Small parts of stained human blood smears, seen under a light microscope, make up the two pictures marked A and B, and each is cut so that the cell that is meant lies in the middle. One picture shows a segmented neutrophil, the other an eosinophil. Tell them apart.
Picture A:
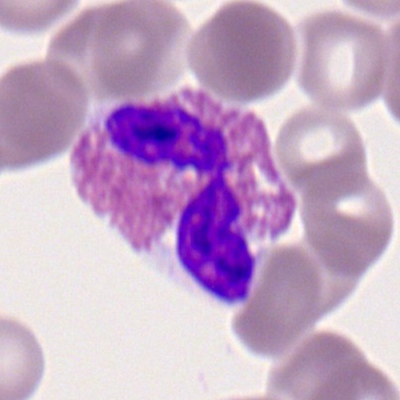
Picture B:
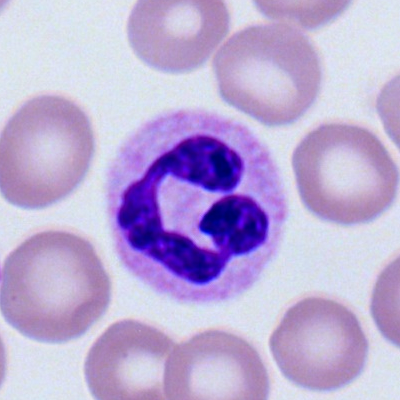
A: eosinophil
B: segmented neutrophil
